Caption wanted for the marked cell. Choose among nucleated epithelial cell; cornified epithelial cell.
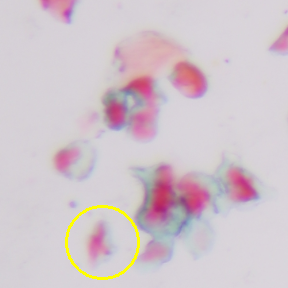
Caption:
Ringed in yellow is a cornified epithelial cell.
